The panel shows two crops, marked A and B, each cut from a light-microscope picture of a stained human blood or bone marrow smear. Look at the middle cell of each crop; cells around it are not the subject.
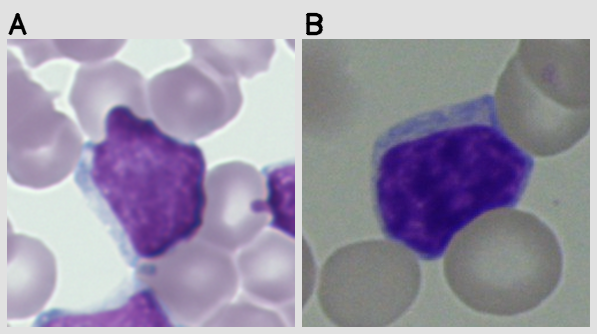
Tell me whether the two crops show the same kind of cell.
yes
